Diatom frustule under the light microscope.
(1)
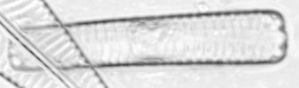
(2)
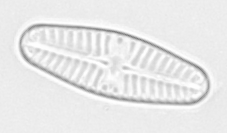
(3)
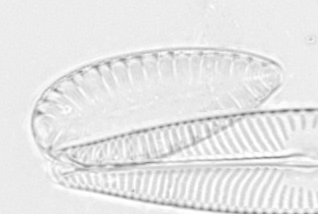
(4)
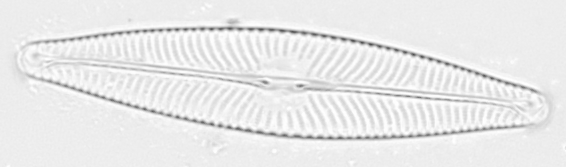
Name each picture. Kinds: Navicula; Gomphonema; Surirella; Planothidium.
Picture 1: Gomphonema
Picture 2: Planothidium
Picture 3: Surirella
Picture 4: Navicula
